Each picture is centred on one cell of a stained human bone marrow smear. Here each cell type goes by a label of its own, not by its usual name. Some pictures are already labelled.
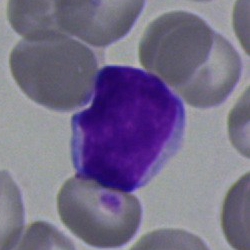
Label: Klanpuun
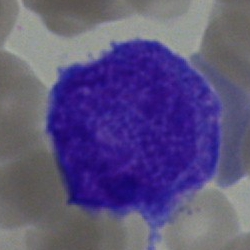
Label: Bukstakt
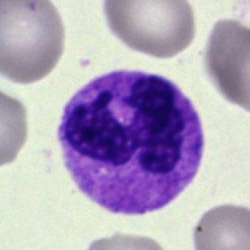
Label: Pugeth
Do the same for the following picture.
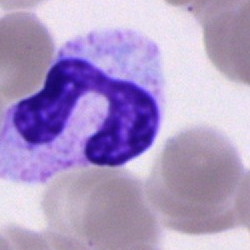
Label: Pugeth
